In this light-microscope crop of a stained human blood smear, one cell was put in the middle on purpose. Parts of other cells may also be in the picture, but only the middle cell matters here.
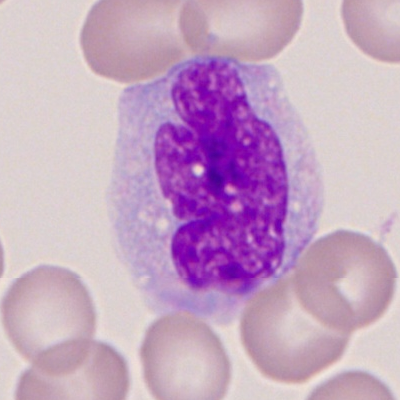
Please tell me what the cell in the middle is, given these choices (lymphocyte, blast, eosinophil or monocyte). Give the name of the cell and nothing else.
monocyte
